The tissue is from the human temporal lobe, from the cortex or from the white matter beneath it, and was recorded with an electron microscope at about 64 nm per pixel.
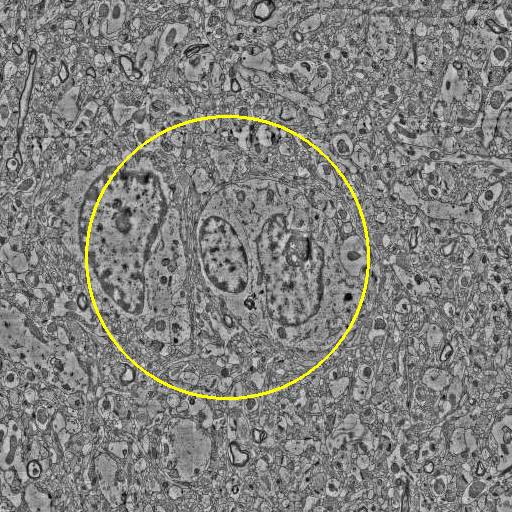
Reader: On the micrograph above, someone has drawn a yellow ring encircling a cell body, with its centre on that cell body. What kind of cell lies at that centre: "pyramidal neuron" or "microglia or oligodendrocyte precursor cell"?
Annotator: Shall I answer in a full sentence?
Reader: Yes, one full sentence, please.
Here a microglial cell or oligodendrocyte precursor cell sits at the centre of the yellow ring drawn on the micrograph.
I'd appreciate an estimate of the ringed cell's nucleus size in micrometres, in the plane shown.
About 5 by 3 micrometers; the nucleus is clearly longer than it is wide in this plane.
